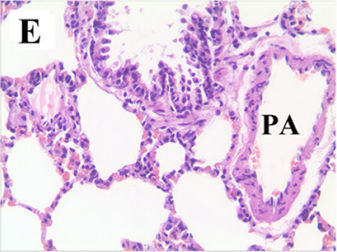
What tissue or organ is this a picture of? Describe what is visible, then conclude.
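Thin-walled air spaces separated by delicate septa fill much of the field. A small airway lined by columnar epithelium lies beside a thin-walled vessel.
Hence: lung tissues.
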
